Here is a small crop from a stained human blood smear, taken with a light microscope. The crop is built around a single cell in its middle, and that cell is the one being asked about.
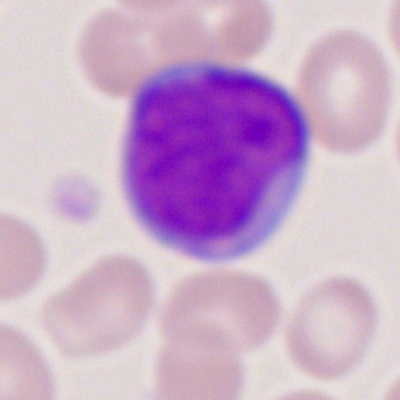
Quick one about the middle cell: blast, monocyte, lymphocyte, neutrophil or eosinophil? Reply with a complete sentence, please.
This crop has a blast at its centre.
